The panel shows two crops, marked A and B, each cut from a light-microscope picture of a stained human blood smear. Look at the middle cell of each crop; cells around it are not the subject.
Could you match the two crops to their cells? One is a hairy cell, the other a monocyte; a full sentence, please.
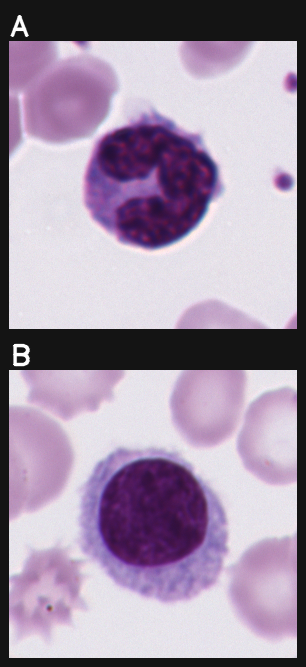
Crop A depicts a monocyte, and a hairy cell is depicted in crop B.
